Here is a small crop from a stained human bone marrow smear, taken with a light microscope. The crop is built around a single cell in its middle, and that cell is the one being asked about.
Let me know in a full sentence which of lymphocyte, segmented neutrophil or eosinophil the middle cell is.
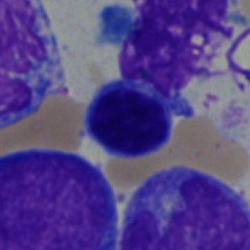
Positioned in the middle of the crop is a lymphocyte.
